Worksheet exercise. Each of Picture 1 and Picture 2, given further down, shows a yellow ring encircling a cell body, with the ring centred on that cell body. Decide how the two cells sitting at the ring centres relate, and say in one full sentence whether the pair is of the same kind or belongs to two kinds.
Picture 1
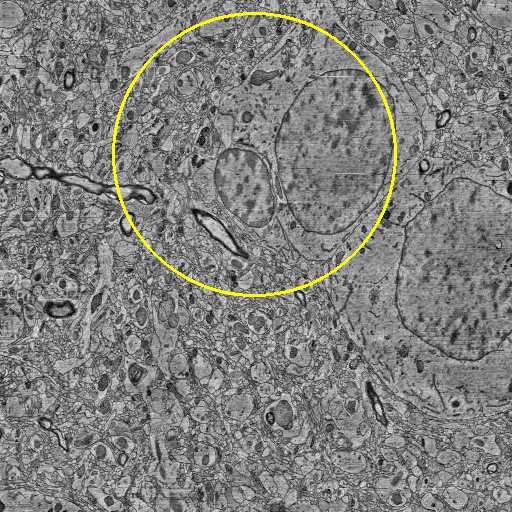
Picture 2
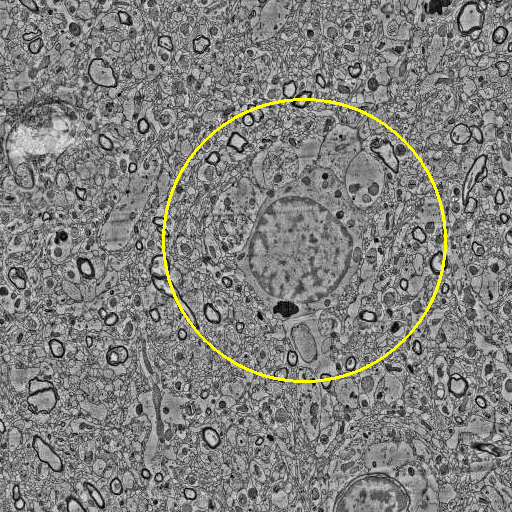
The cells at the ring centres in Picture 1 and Picture 2 belong to two kinds.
